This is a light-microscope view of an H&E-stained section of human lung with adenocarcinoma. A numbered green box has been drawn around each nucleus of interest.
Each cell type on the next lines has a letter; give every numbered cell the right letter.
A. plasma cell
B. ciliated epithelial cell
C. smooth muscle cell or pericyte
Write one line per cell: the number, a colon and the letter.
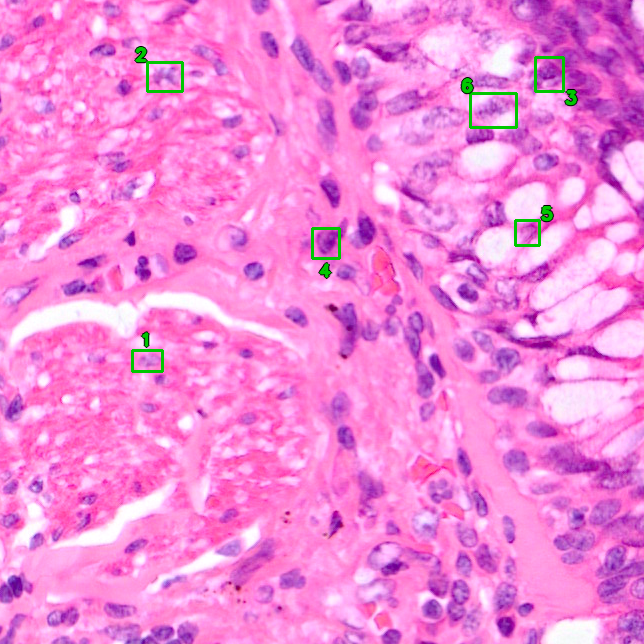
1: C
2: C
3: B
4: A
5: B
6: B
